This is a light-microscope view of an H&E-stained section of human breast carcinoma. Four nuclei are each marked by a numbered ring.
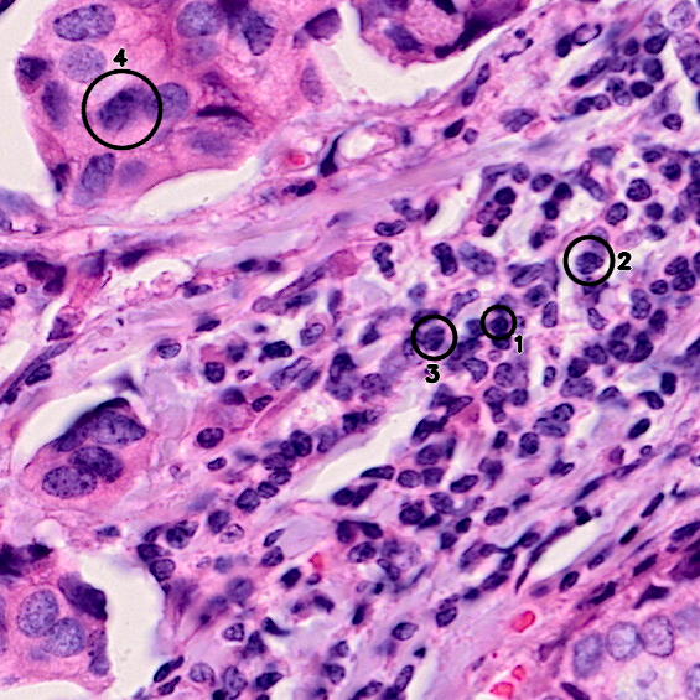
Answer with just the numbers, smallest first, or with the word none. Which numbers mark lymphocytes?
1, 2, 3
